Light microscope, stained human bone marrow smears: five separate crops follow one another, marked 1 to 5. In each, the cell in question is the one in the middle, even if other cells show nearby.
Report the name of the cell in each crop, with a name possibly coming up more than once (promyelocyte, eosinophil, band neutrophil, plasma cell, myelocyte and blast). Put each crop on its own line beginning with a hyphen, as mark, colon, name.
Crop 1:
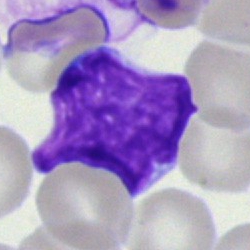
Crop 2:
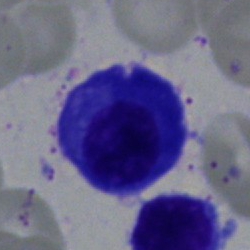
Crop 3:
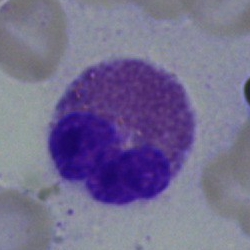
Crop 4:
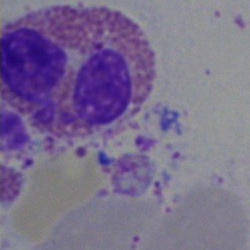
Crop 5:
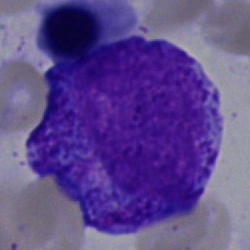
- 1: blast
- 2: plasma cell
- 3: eosinophil
- 4: eosinophil
- 5: promyelocyte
